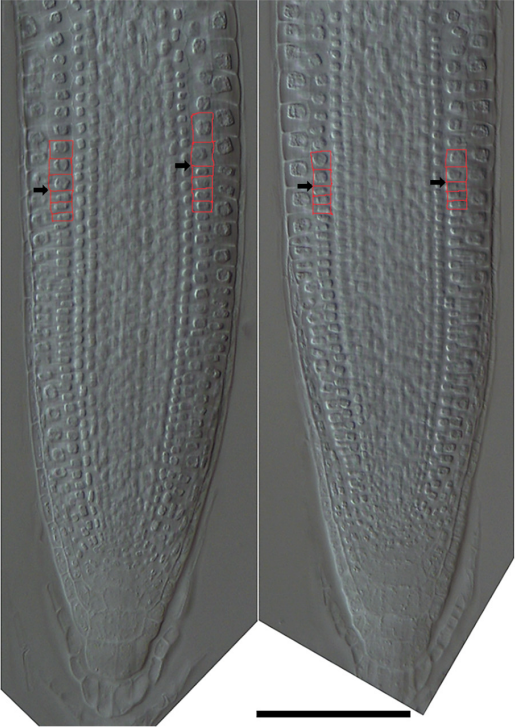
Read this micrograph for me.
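Two root tips are seen in longitudinal view, each ending in a rounded cap at the bottom. Above the cap, small, densely packed, roughly box-shaped cells are arranged in regular longitudinal files that converge toward the tip, forming the meristem. Further from the tip the cells in each file become longer along the root axis. In one file a few layers in from the surface, cortex cells are traced in red, short below and longer above.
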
